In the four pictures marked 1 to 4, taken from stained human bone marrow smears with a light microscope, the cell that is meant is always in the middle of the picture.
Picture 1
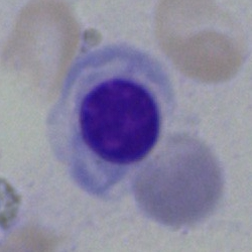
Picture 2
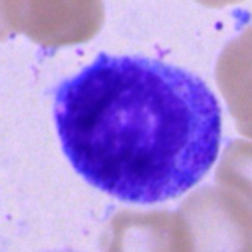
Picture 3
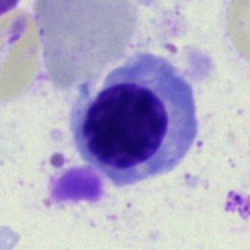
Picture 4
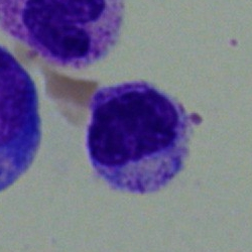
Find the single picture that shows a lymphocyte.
4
